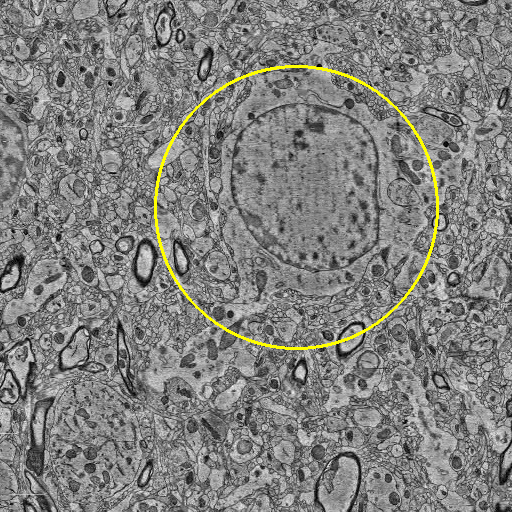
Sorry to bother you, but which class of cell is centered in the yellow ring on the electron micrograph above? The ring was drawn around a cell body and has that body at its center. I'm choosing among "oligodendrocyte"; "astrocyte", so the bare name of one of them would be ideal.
astrocyte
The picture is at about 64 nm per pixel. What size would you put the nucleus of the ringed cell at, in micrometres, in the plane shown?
Approximately 11 micrometres across, in this plane.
